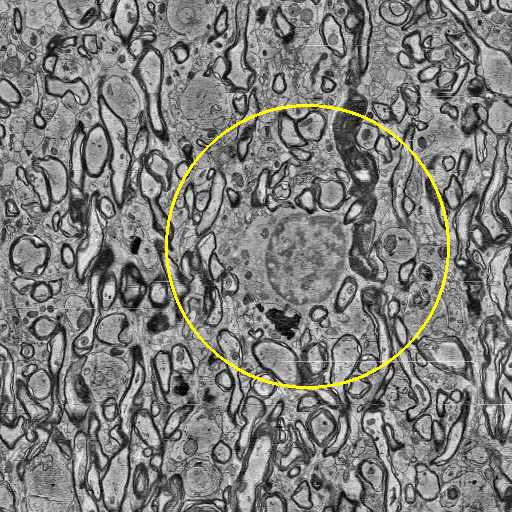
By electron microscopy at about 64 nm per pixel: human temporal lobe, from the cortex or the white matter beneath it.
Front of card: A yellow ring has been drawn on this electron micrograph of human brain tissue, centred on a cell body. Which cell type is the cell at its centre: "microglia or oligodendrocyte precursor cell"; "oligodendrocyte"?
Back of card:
oligodendrocyte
